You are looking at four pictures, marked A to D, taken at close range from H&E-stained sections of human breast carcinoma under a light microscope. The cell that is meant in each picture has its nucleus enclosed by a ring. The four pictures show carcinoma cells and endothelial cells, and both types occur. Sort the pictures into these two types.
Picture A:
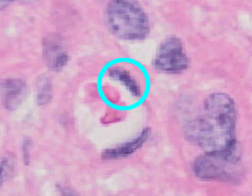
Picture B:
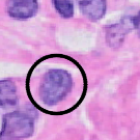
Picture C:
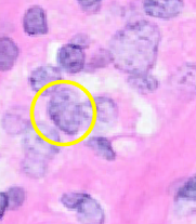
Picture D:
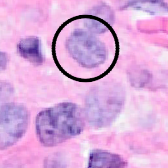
A: endothelial cell
B: carcinoma cell
C: carcinoma cell
D: carcinoma cell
